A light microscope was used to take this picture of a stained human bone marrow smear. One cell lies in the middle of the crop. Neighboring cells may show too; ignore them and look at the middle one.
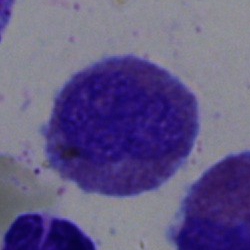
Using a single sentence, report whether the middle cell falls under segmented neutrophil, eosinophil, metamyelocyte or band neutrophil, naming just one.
The cell found in the middle of this crop is an eosinophil.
